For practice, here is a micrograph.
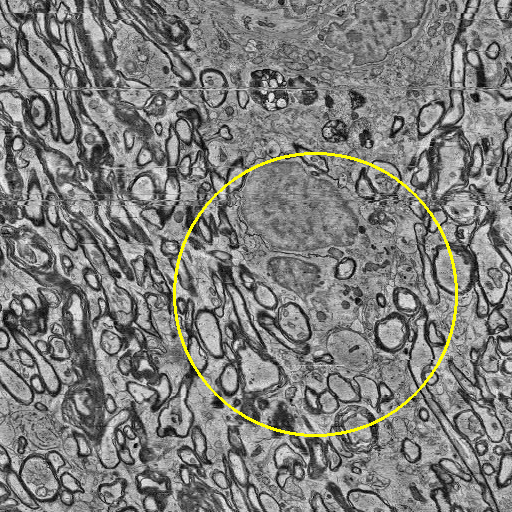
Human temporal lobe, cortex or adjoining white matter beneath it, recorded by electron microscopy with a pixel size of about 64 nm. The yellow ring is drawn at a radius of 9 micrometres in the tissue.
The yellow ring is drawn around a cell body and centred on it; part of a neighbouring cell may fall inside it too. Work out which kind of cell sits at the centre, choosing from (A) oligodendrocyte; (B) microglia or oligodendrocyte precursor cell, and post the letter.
A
